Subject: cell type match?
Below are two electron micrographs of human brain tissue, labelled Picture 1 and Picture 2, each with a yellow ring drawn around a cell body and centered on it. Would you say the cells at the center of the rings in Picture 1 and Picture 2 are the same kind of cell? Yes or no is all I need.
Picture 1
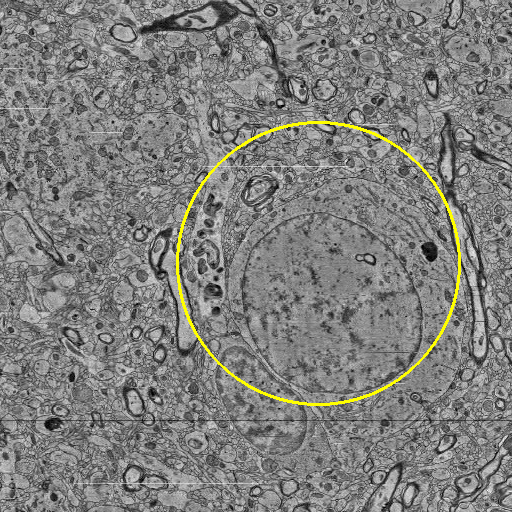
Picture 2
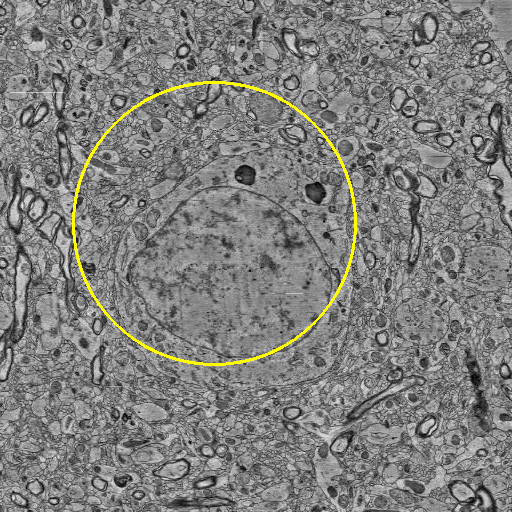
yes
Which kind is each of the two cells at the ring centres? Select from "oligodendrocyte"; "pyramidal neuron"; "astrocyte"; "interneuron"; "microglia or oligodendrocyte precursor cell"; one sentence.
The first and the second cell are each a pyramidal neuron.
